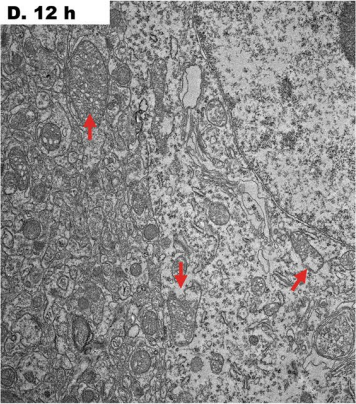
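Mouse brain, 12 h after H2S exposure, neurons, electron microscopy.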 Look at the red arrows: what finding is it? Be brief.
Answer: Swelling, dilation, and vacuolization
